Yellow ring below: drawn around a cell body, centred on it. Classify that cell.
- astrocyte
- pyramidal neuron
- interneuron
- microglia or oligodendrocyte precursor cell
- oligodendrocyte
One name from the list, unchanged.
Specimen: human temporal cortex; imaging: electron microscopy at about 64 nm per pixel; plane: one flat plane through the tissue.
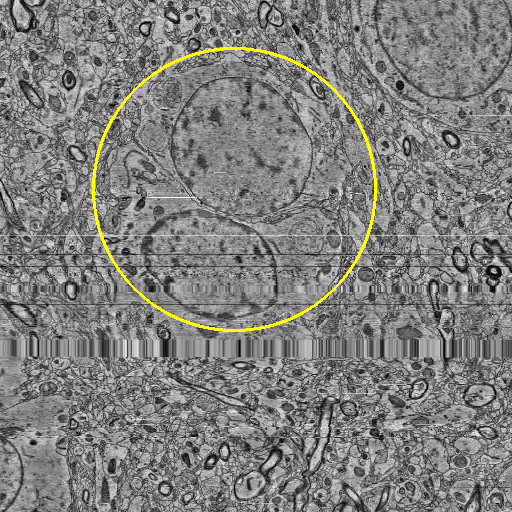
astrocyte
